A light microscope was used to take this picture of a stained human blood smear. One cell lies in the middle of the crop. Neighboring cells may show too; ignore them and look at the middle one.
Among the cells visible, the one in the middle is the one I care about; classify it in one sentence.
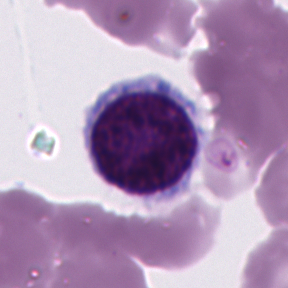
The cell at the centre of the field is a hairy cell.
